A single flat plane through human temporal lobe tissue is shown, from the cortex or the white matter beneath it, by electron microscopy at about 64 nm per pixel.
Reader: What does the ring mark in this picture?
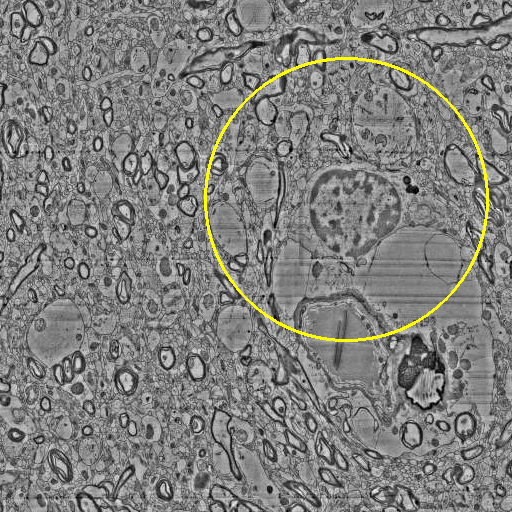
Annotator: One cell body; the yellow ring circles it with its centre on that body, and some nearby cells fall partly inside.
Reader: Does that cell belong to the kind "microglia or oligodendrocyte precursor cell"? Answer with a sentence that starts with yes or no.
Yes, in this picture the ringed cell at the centre belongs to that kind.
